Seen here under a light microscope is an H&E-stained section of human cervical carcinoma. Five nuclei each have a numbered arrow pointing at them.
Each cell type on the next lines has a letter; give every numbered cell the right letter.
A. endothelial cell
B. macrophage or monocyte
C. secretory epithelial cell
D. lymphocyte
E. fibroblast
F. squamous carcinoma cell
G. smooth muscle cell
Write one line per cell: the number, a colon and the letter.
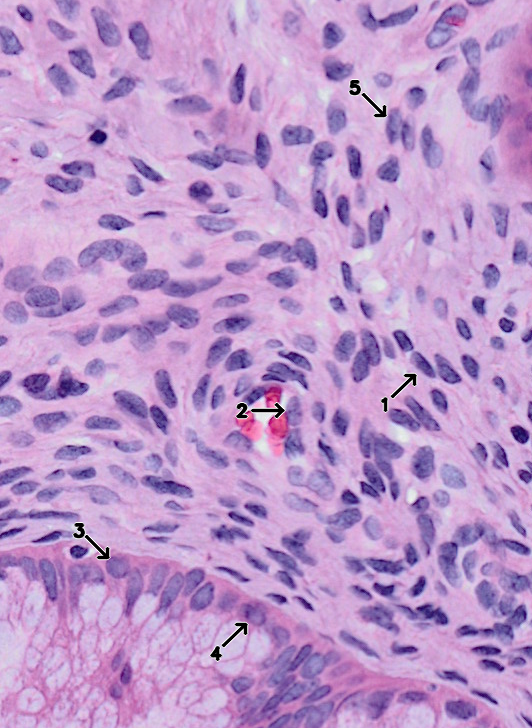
1: E
2: A
3: C
4: C
5: E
